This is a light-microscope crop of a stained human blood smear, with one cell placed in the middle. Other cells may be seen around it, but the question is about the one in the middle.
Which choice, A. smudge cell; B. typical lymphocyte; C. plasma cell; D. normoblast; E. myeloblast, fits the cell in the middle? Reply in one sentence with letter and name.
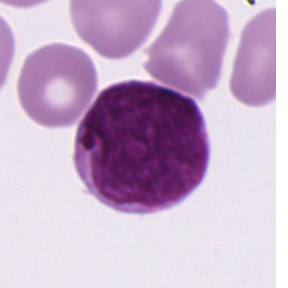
The middle cell of the crop is a myeloblast; accordingly, option E is correct.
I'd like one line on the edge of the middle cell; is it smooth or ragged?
No surface projections are present; the cell outline is smooth.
